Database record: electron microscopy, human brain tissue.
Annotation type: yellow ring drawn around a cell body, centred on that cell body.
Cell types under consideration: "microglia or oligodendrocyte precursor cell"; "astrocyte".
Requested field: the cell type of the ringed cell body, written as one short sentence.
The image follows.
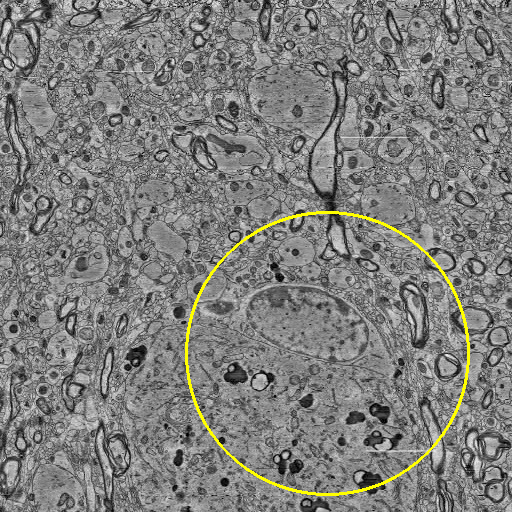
The ringed cell body represents a microglial cell or oligodendrocyte precursor cell.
